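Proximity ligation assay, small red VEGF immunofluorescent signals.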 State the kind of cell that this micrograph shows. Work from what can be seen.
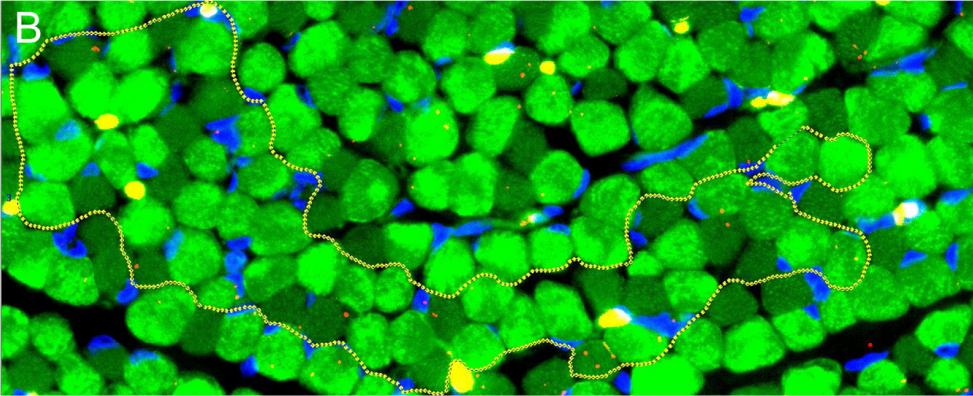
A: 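Closely packed polygonal fiber profiles cut in cross section. A mosaic of brighter and dimmer green fibers. Blue nuclei lie at the fiber edges. The answer: skeletal muscle myofibers.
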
